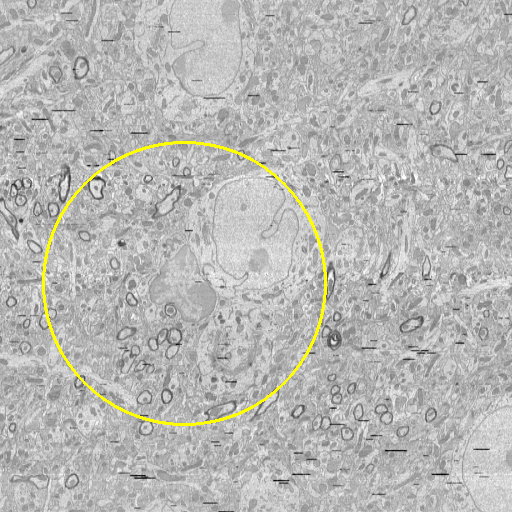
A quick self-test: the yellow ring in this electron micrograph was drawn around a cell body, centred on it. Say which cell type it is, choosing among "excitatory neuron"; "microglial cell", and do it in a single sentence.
The yellow-ringed cell is a microglial cell.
